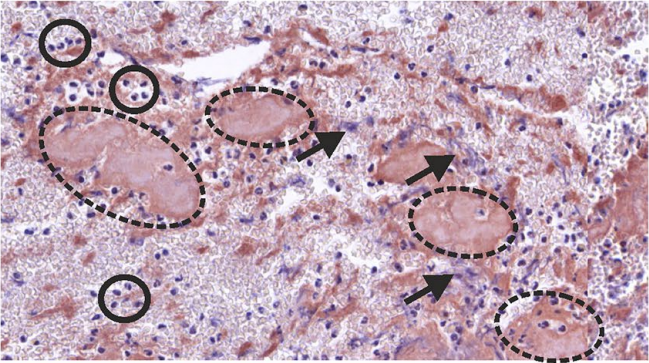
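Section of a blood clot in which numerous pale, unstained red blood cells form the background. In places, fragmented or streaked blue nuclear material lies along strands between the clumps. Thin brown-tinged strands run through the field among the red cells.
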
